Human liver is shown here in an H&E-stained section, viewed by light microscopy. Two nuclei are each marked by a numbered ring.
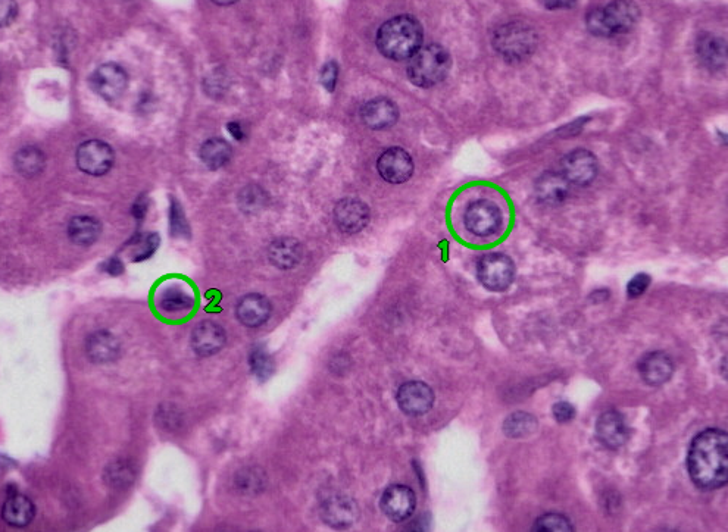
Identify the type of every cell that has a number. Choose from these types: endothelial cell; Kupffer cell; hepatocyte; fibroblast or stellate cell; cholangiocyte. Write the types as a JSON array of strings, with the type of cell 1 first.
["hepatocyte", "fibroblast or stellate cell"]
